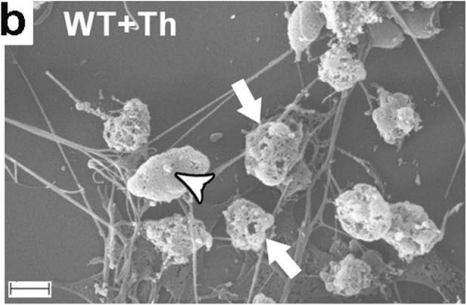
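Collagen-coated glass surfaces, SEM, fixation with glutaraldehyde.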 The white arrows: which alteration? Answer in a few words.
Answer: Membrane fragmentation and disintegration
